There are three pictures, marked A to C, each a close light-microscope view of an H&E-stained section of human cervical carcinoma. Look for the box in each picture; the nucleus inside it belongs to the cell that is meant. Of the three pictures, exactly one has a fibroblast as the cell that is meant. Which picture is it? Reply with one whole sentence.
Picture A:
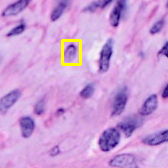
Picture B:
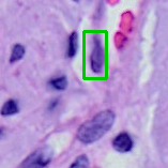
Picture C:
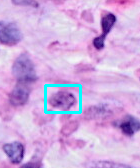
Picture C shows the fibroblast.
